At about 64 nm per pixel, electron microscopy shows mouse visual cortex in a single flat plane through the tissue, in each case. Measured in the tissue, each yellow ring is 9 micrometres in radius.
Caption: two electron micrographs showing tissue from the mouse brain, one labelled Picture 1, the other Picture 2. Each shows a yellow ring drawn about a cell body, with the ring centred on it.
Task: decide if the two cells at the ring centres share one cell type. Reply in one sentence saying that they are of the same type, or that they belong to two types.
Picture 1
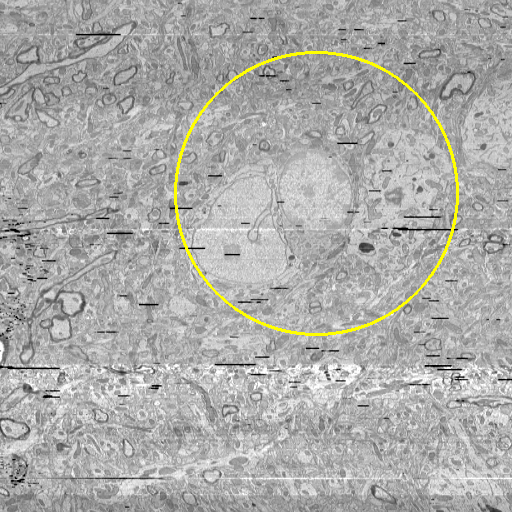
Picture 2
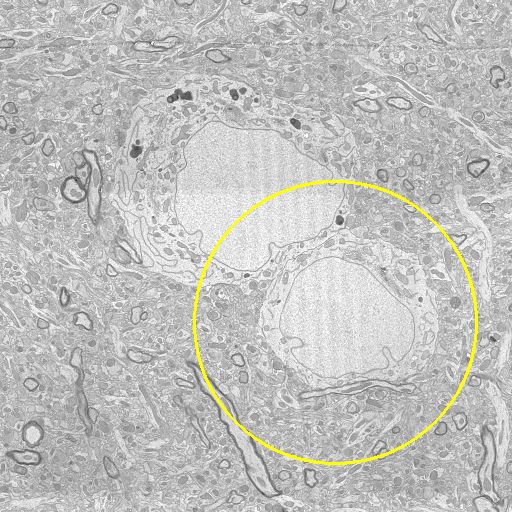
The cells at the ring centres in Picture 1 and Picture 2 belong to two types.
